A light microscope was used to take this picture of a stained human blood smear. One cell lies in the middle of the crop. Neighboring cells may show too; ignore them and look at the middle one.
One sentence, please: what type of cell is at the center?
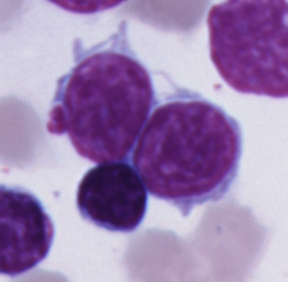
In the middle of this smear crop, the cell is a blast.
